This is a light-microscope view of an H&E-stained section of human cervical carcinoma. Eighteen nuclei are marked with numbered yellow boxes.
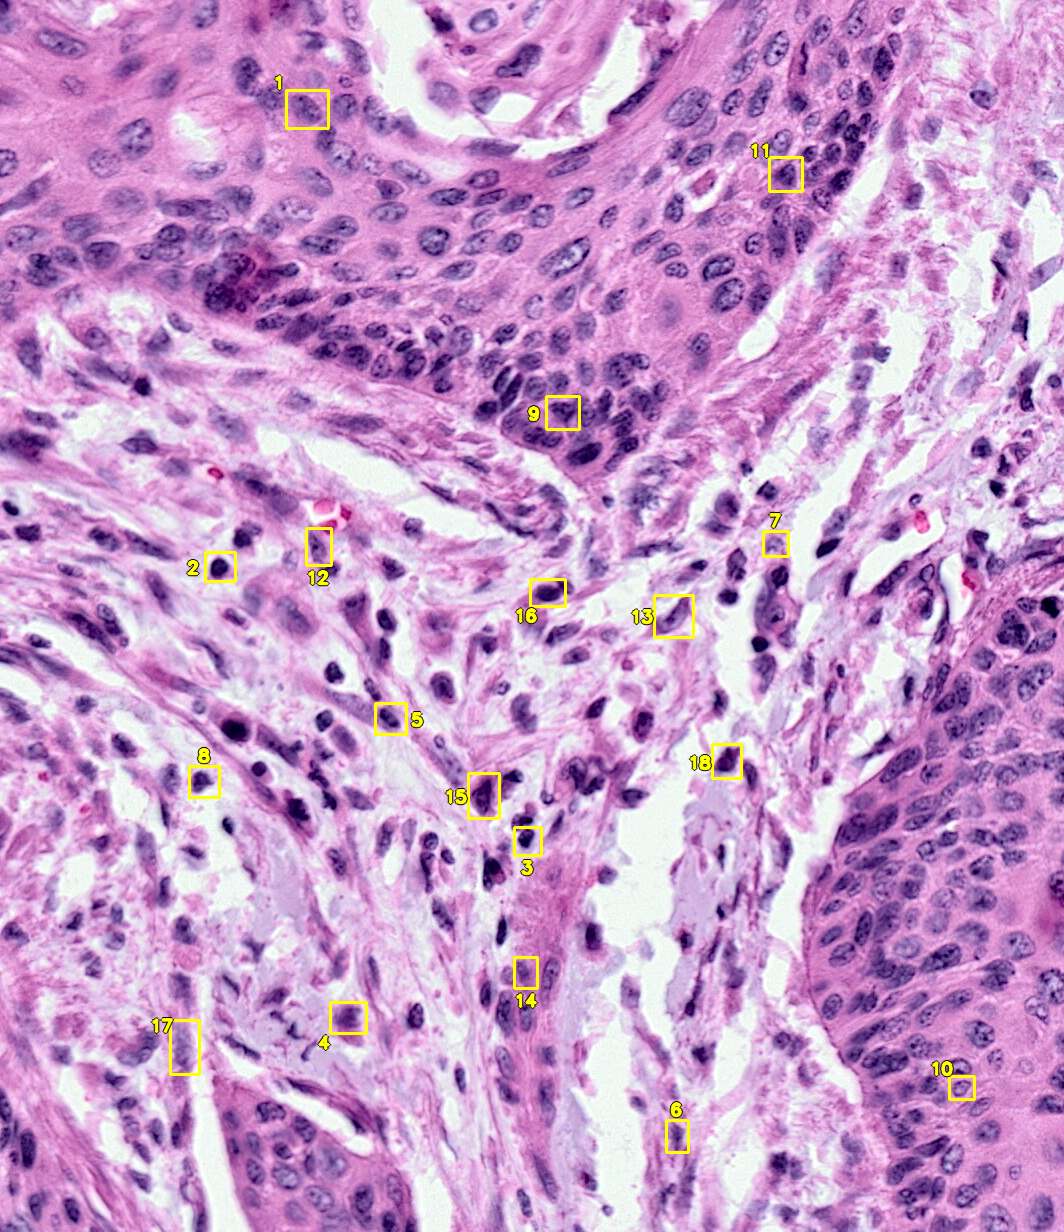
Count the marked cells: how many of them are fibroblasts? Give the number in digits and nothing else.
3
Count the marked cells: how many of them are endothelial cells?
1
